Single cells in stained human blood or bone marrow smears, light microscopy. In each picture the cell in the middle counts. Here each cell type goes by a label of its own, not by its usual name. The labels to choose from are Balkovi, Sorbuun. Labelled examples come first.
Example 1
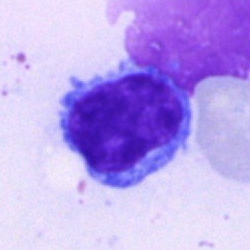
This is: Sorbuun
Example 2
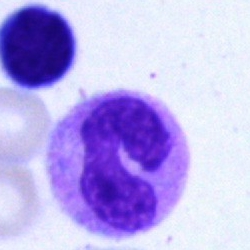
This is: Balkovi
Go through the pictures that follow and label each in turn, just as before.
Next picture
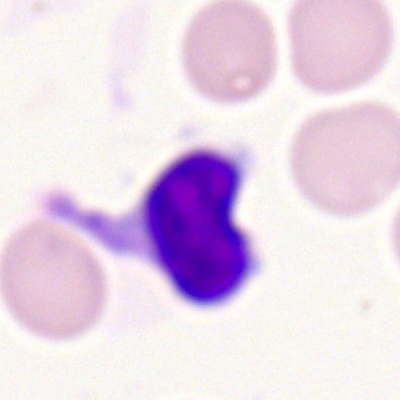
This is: Sorbuun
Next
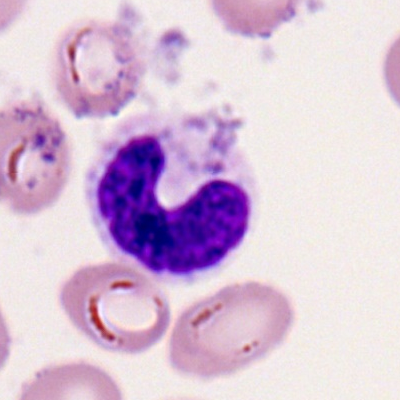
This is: Balkovi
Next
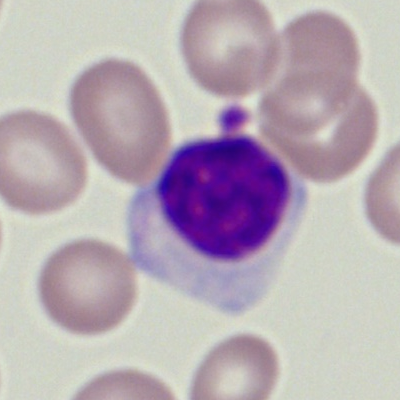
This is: Sorbuun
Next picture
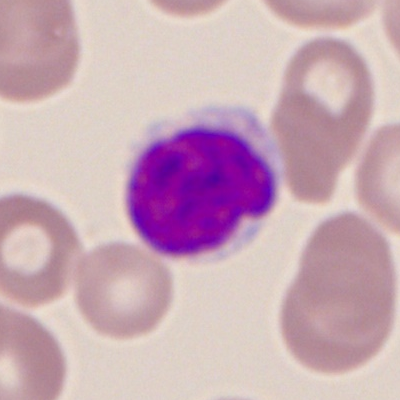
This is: Sorbuun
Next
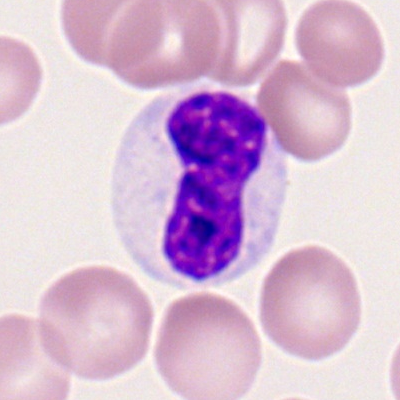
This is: Balkovi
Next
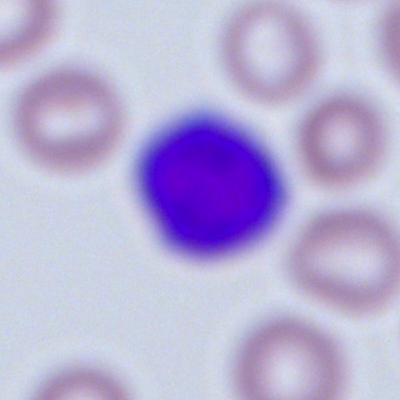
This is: Sorbuun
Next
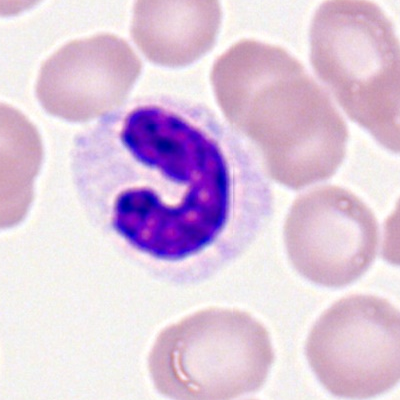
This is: Balkovi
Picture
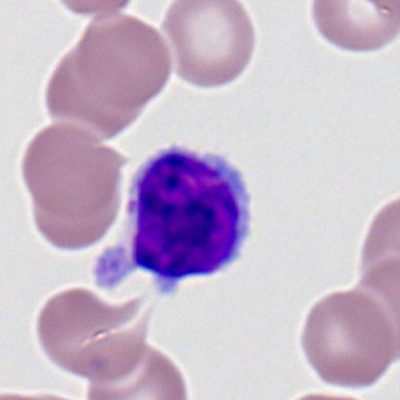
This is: Sorbuun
